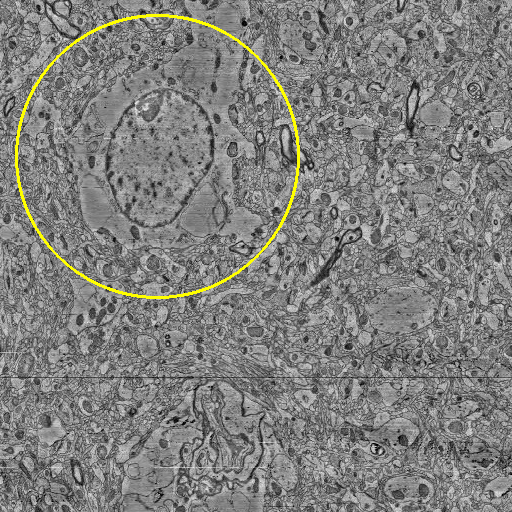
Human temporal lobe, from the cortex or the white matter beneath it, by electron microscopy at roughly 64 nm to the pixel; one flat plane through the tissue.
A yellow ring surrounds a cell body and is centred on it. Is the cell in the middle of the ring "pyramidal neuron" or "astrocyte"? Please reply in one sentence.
The ring is centred on an astrocyte.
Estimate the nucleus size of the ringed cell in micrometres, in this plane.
The nucleus has a long axis of about 9 micrometres and a short axis of about 7 micrometres in this plane.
